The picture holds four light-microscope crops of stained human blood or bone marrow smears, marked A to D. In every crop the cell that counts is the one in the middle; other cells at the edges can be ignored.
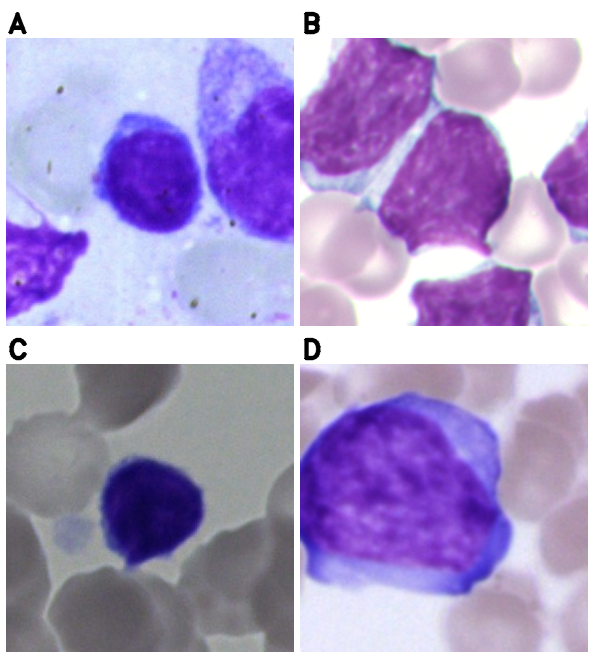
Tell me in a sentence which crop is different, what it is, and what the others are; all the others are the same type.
The outlier here is crop D, which is a blast, while the remainder show lymphocytes.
